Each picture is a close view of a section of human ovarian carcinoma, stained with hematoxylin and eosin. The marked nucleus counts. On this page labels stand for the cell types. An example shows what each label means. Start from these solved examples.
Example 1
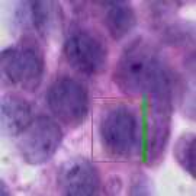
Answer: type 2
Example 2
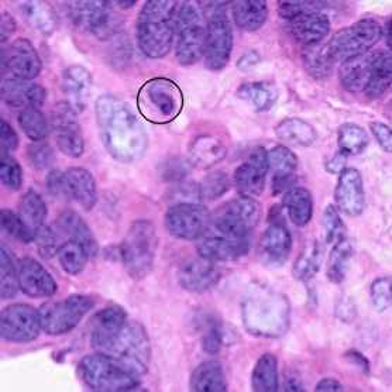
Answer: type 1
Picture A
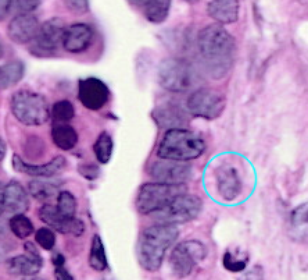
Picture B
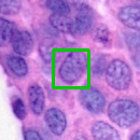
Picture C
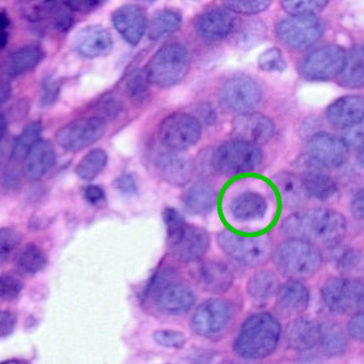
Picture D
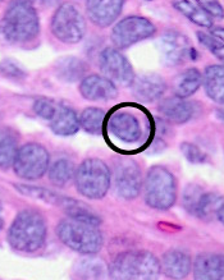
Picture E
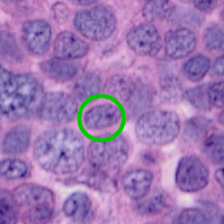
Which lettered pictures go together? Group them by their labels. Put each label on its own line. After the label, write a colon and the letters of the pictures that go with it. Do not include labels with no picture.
type 2: B, D, E
type 1: A, C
